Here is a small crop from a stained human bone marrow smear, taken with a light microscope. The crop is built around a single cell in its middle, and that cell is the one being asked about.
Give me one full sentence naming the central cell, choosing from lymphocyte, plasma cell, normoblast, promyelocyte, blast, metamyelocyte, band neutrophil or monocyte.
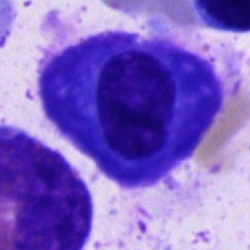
As for the cell in the middle, it is a plasma cell.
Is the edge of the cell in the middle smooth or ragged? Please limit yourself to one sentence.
Expected answer: a smooth cell outline without projections of any sort.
